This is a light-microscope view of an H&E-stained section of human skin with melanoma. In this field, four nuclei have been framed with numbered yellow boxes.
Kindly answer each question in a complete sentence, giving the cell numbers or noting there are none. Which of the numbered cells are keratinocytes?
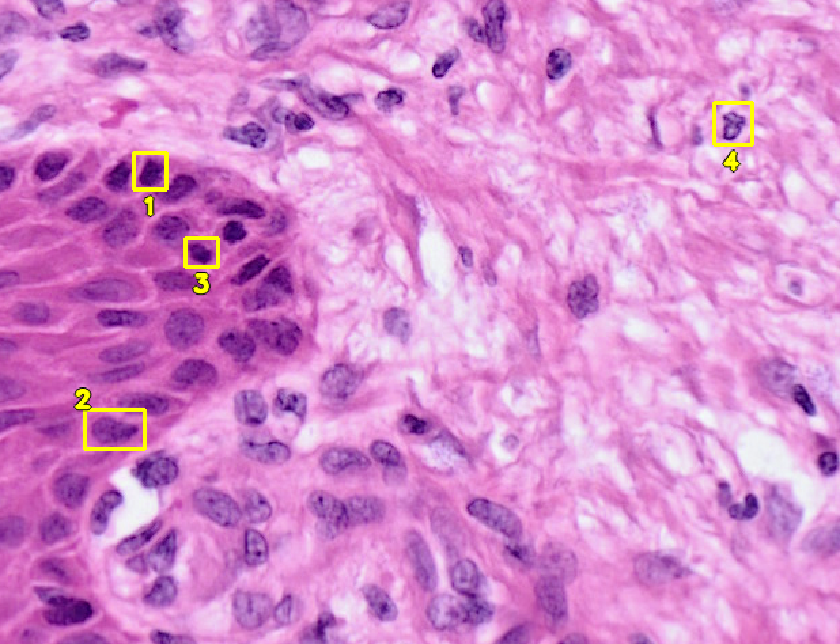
Cells 1, 2 and 3 are keratinocytes by cell type.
